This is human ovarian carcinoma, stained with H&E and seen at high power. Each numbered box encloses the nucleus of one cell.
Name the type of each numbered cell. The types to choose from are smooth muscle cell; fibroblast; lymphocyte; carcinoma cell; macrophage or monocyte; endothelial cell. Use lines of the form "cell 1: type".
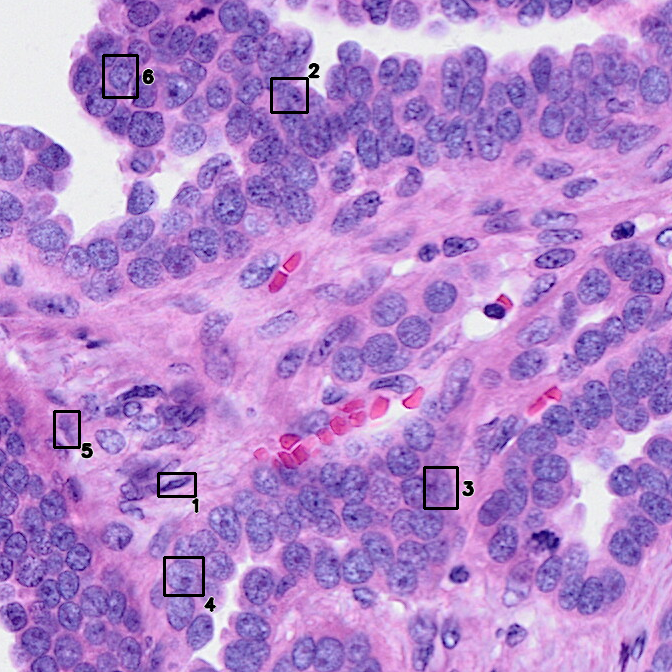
cell 1: fibroblast
cell 2: carcinoma cell
cell 3: carcinoma cell
cell 4: carcinoma cell
cell 5: fibroblast
cell 6: carcinoma cell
